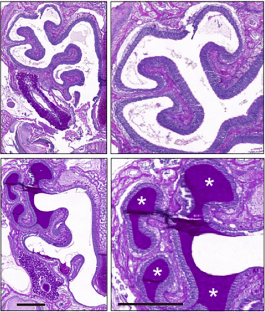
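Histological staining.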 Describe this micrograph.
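Sections through the nasal cavity show folded, scroll-like turbinates covered by a purple-stained lining epithelium, with open air spaces between them in the upper images. In the lower images several of these spaces are filled with dense, uniformly dark purple material lying against the epithelial surface, marked by asterisks.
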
